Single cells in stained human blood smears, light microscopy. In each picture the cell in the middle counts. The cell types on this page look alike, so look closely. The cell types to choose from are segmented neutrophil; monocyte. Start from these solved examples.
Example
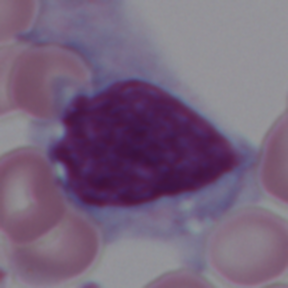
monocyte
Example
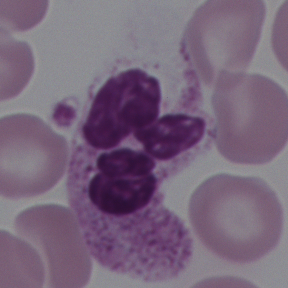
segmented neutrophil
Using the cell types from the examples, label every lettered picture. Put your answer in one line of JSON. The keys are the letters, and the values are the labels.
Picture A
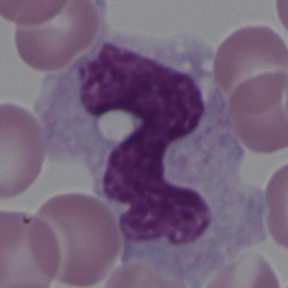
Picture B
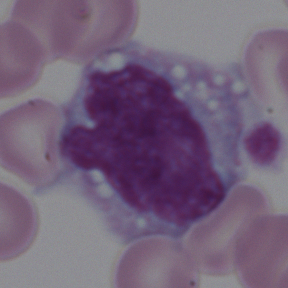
{"A": "monocyte", "B": "monocyte"}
